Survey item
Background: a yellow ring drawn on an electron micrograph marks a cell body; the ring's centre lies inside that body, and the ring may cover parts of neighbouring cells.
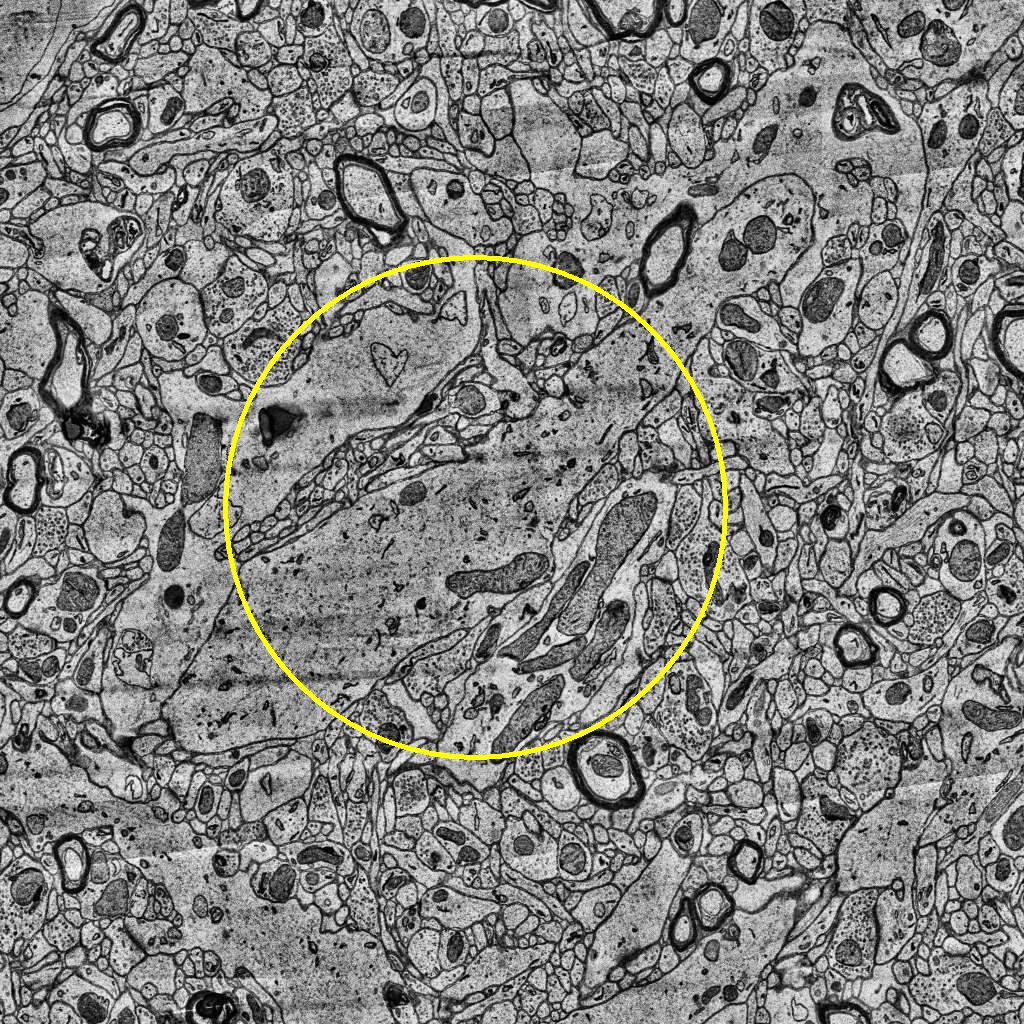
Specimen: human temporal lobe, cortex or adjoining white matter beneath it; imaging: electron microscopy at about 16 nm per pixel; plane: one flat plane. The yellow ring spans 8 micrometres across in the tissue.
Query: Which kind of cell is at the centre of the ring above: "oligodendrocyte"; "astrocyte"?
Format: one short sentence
The cell in the middle of the ring is an oligodendrocyte.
